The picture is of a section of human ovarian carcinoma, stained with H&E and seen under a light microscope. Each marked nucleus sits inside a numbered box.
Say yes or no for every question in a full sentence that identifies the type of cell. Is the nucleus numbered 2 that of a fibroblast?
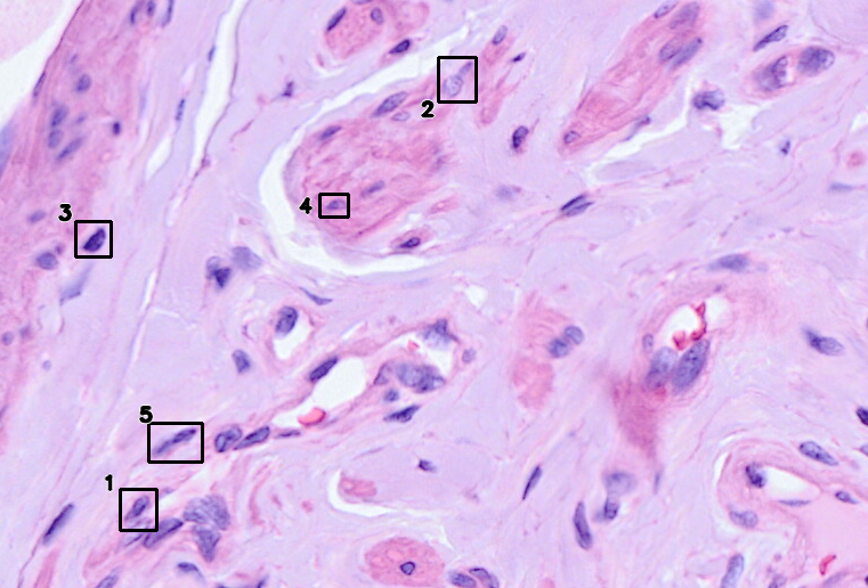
No, cell 2 isn't a fibroblast; it's a smooth muscle cell.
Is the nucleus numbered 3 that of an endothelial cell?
No, number 3 points to a lymphocyte and not to an endothelial cell.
